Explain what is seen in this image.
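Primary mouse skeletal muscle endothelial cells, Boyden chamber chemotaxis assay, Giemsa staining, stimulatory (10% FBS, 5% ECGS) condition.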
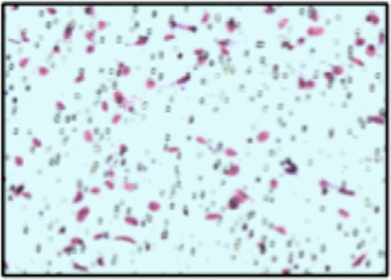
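Many small, evenly sized, round pores with dark rims are dispersed across the membrane between the cells. The cells do not form a continuous sheet and are not aligned in any particular direction.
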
